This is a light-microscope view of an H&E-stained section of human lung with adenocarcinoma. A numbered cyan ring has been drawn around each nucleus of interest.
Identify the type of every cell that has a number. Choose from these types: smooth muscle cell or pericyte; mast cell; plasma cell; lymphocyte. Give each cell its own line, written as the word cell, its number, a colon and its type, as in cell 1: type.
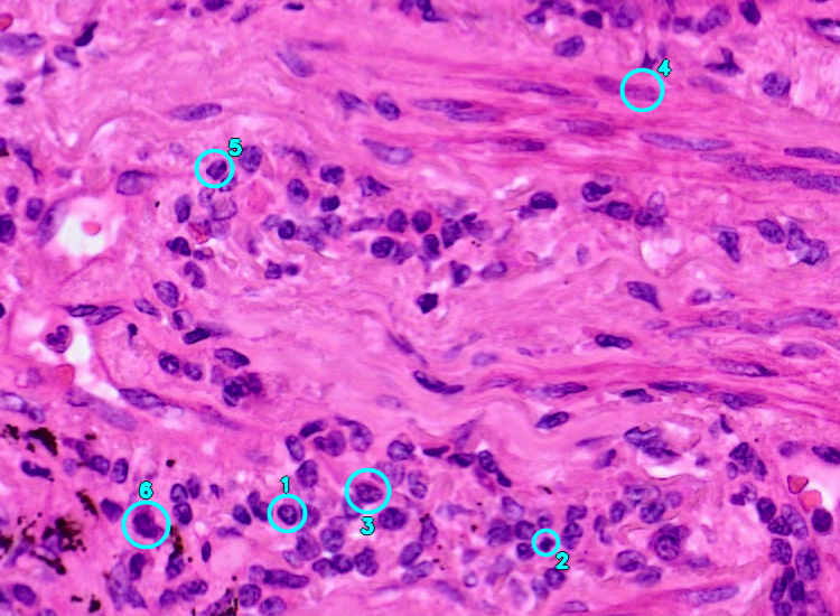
cell 1: lymphocyte
cell 2: lymphocyte
cell 3: lymphocyte
cell 4: smooth muscle cell or pericyte
cell 5: lymphocyte
cell 6: plasma cell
